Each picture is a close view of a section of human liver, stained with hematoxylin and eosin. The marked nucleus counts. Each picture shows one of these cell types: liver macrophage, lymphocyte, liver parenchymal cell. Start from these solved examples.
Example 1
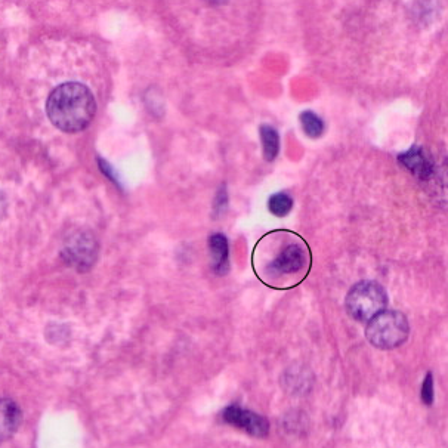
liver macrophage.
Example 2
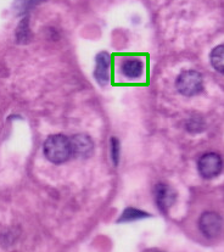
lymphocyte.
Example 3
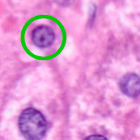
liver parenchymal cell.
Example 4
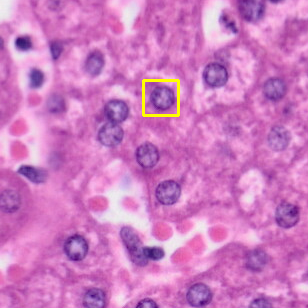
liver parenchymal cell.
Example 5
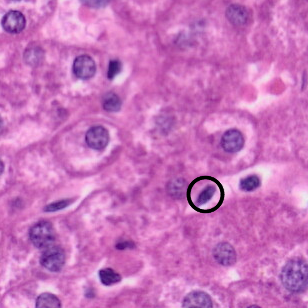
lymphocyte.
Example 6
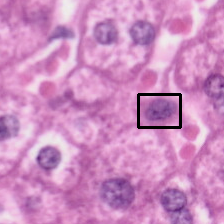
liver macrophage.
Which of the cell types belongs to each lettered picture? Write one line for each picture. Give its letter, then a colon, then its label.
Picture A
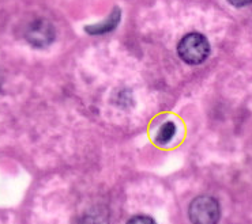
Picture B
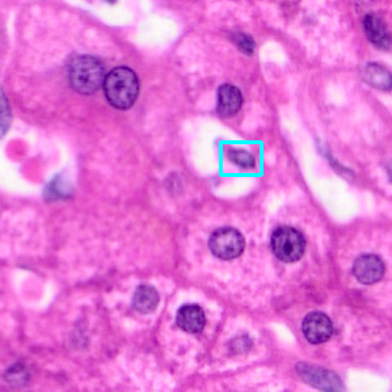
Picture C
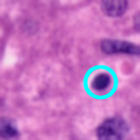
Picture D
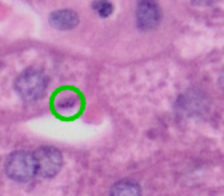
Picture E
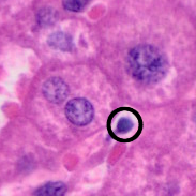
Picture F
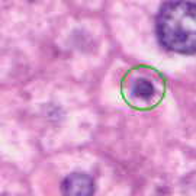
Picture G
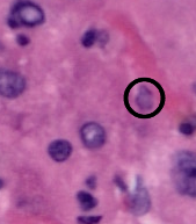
A: lymphocyte.
B: liver macrophage.
C: lymphocyte.
D: liver macrophage.
E: lymphocyte.
F: lymphocyte.
G: liver macrophage.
